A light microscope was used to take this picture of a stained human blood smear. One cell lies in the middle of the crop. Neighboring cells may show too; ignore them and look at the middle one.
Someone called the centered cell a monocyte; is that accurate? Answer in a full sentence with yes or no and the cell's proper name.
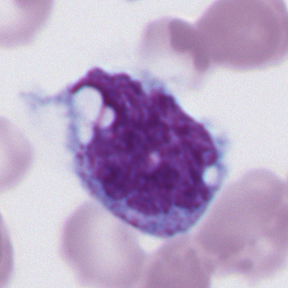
Yes, the cell at the midpoint of the crop is a monocyte.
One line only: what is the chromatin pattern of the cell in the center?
The nucleus shows chromatin that is coarsely clumped.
